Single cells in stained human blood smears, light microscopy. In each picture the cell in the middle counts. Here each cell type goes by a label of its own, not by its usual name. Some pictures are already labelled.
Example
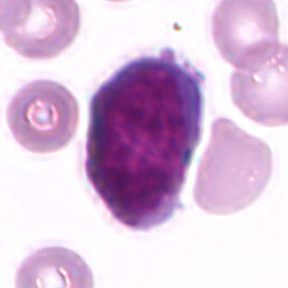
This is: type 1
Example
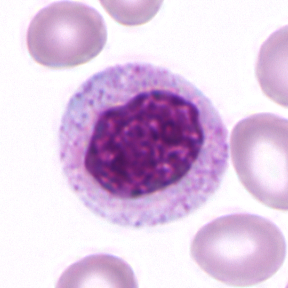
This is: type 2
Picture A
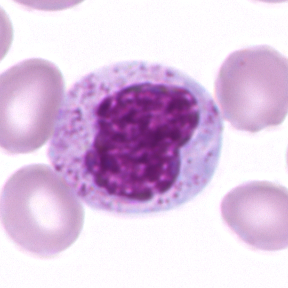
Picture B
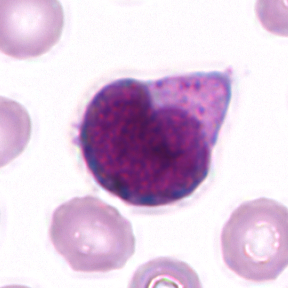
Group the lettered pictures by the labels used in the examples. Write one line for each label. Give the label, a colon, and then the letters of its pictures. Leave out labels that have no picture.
type 1: B
type 2: A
